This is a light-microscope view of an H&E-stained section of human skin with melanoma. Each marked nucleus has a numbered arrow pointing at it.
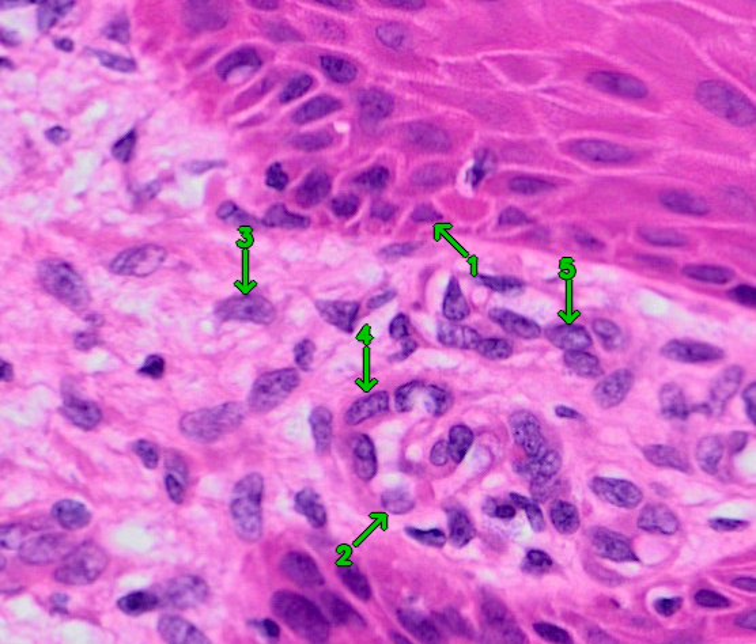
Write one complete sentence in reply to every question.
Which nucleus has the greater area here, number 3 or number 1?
Number 3 is larger; its area is about 4 times that of number 1.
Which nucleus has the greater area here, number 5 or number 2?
The larger nucleus is 5, at roughly 1.5 times the area of 2.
